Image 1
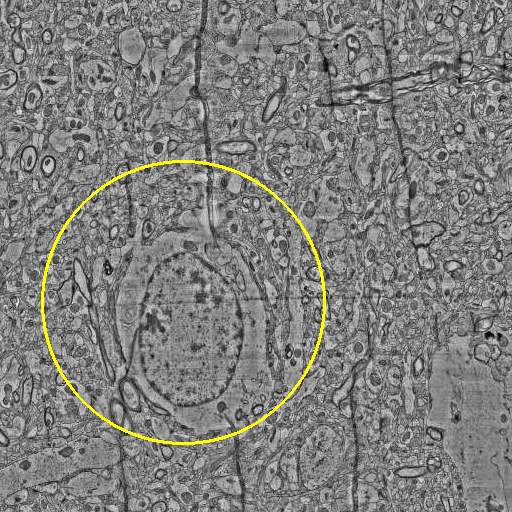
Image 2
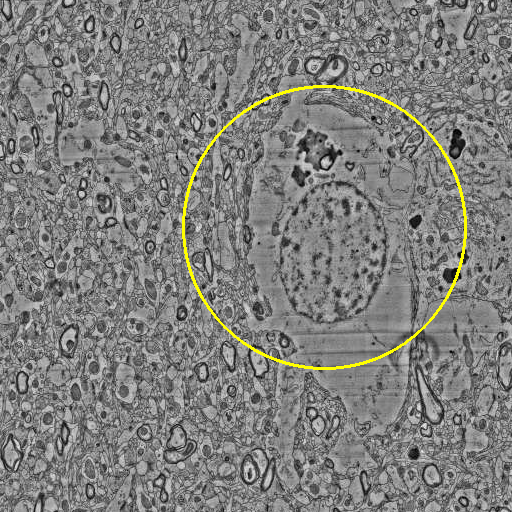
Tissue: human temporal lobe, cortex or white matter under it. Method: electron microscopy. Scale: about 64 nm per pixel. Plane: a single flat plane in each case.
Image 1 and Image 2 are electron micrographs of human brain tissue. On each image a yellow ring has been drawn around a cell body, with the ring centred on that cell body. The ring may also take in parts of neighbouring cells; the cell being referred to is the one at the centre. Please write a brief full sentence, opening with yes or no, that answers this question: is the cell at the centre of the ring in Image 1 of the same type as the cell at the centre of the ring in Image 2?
Yes, both cells are of the same type.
